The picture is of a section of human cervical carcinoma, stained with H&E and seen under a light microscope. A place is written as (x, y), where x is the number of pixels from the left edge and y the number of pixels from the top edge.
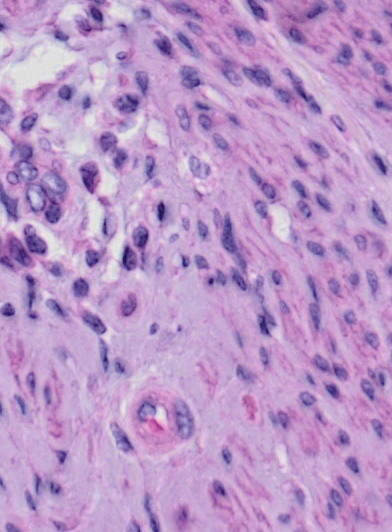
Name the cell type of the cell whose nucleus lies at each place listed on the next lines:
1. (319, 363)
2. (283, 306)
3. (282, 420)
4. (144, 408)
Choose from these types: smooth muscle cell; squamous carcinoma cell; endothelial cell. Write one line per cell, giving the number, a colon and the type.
1: smooth muscle cell
2: smooth muscle cell
3: smooth muscle cell
4: endothelial cell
